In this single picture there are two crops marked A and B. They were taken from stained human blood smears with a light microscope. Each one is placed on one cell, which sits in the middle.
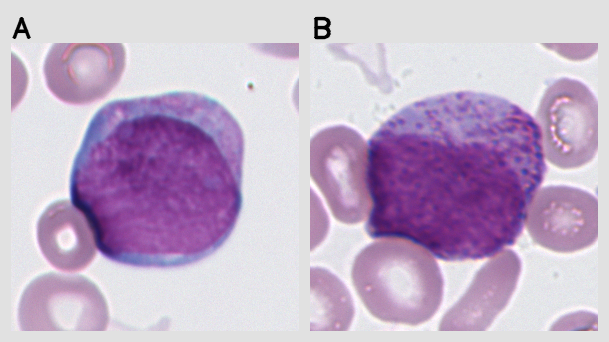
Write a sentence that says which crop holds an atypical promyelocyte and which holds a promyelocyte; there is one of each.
The middle cell in crop A is an atypical promyelocyte; the middle cell in crop B is a promyelocyte.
